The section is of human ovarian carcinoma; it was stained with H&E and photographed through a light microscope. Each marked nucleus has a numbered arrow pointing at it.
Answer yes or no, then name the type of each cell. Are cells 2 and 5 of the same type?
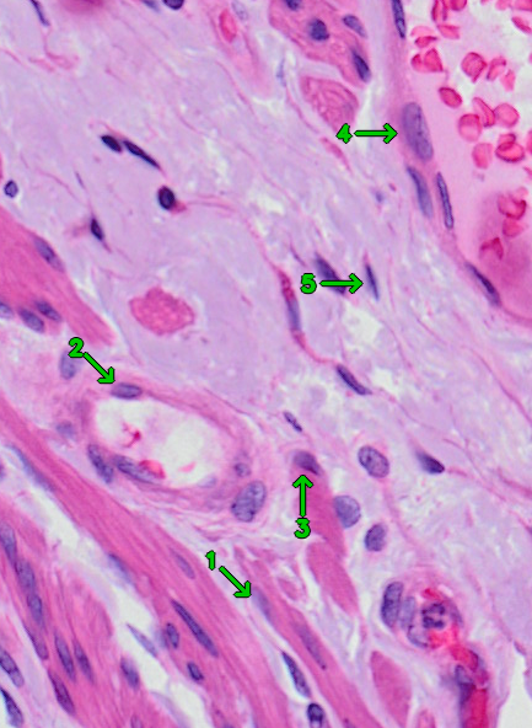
No, hold on, cell 2 is an endothelial cell and cell 5 is a fibroblast.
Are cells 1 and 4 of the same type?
No, cell 1 is a smooth muscle cell, whereas an endothelial cell is what cell 4 is.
